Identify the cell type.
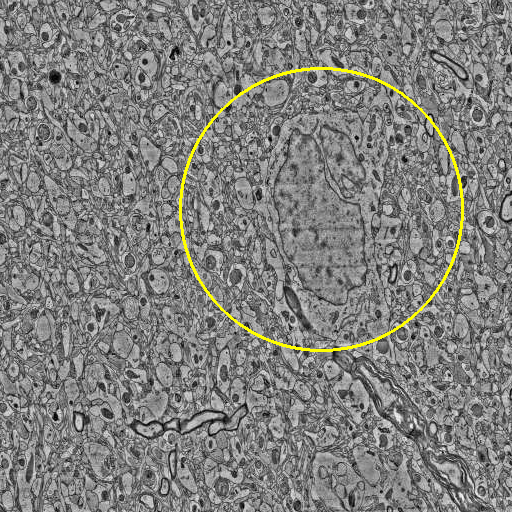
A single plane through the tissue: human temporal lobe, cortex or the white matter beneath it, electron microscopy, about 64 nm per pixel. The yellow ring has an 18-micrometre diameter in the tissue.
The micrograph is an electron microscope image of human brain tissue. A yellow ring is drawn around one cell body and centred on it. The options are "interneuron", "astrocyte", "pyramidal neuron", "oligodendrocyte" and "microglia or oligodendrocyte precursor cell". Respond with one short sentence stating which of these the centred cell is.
The cell body in the ring belongs to an interneuron.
